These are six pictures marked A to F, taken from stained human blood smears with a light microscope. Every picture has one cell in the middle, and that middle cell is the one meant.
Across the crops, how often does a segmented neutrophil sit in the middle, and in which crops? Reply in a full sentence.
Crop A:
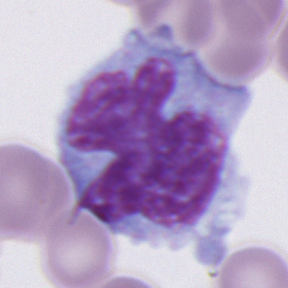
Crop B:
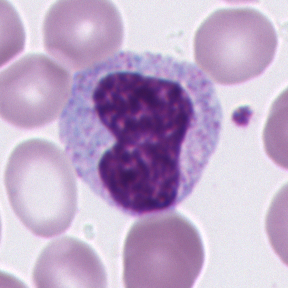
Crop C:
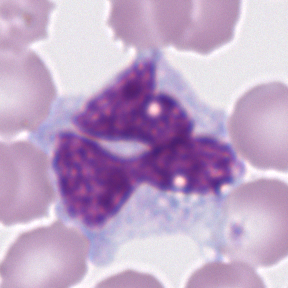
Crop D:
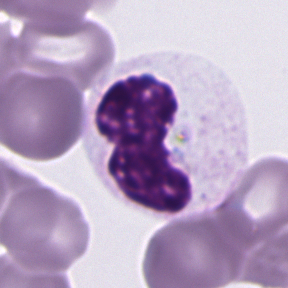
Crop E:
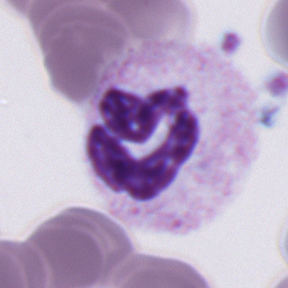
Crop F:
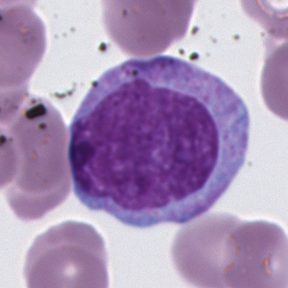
Of the crops presented, the one depicting a segmented neutrophil is crop E.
